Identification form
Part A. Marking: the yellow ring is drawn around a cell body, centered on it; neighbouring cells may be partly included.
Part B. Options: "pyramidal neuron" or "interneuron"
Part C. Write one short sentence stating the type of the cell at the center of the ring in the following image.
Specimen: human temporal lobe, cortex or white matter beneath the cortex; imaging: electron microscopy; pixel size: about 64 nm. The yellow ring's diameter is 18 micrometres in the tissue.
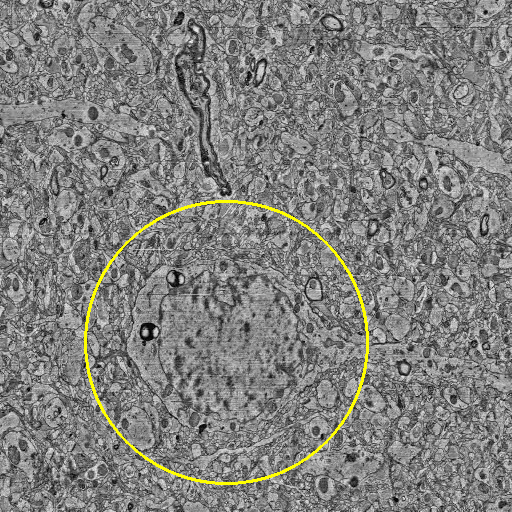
The center of the ring holds an interneuron.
